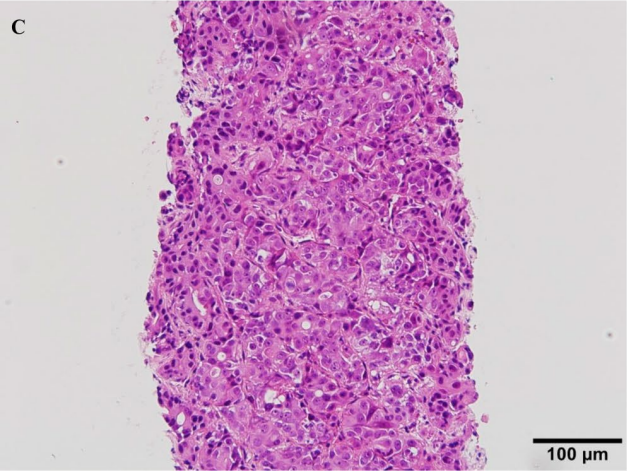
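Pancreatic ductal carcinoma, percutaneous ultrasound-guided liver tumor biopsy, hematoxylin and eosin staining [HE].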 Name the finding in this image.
Poorly differentiated adenocarcinoma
